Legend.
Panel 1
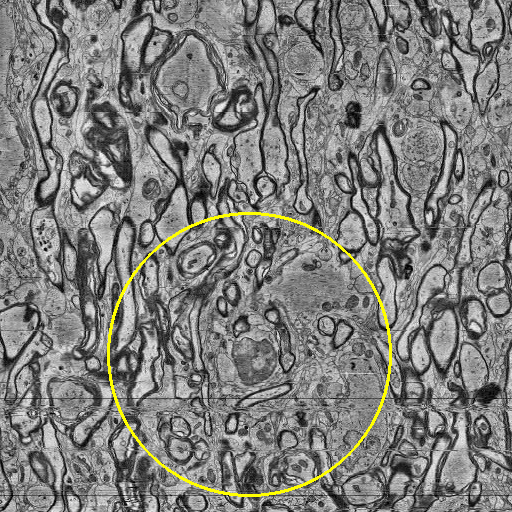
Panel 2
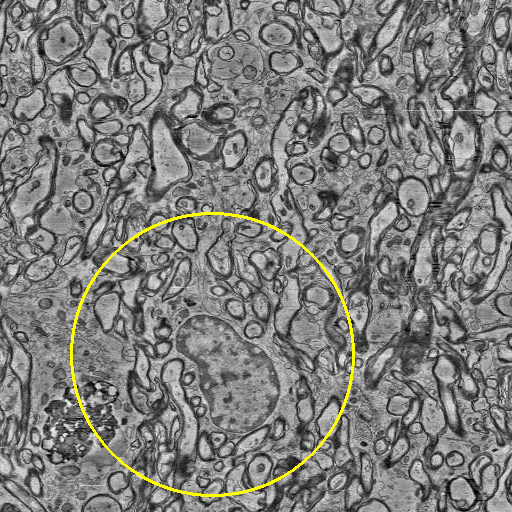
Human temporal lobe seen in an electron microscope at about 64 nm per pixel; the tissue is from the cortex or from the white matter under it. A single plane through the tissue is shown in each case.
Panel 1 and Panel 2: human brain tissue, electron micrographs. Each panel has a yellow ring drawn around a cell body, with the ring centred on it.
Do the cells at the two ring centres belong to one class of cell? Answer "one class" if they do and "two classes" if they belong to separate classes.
one class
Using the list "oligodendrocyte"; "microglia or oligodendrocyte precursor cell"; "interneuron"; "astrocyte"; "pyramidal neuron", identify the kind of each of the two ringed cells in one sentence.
Each of the two rings is centred on a microglial cell or oligodendrocyte precursor cell.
